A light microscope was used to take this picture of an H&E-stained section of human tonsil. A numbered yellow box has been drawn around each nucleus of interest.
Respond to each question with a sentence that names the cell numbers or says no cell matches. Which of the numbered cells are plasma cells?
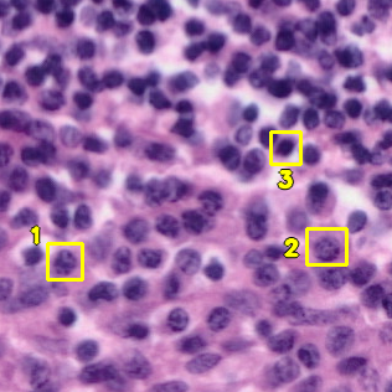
On this slide, the cells numbered 1 and 2 are plasma cells.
